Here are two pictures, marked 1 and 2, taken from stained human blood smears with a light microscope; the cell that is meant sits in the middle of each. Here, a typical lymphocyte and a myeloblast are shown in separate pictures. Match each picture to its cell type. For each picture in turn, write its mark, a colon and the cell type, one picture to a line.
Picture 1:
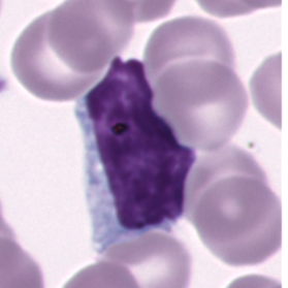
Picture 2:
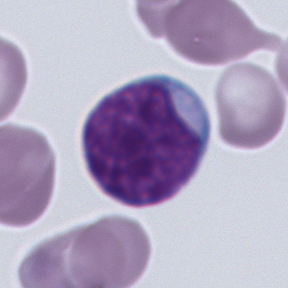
1: typical lymphocyte
2: myeloblast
